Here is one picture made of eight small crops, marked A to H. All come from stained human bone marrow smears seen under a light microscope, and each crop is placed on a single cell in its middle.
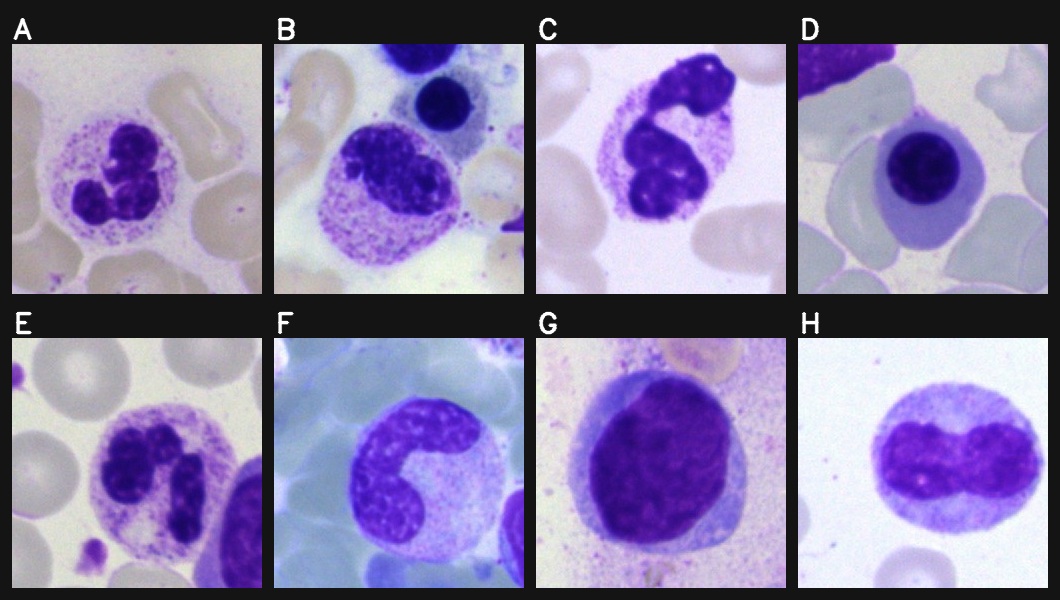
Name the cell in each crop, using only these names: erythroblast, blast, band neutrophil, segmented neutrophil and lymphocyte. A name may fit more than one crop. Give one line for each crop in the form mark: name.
A: segmented neutrophil
B: segmented neutrophil
C: segmented neutrophil
D: erythroblast
E: segmented neutrophil
F: band neutrophil
G: blast
H: band neutrophil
